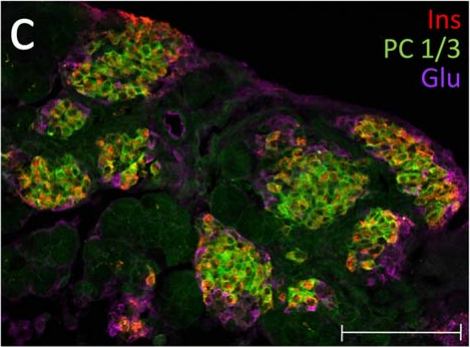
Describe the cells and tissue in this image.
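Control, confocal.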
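Pancreatic tissue with several small, separate, rounded islets lying among dimmer exocrine tissue. The islet cells are polygonal and crowded, their cytoplasm glowing red and green, while purple-stained cells are scattered along the rims of the islets.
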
